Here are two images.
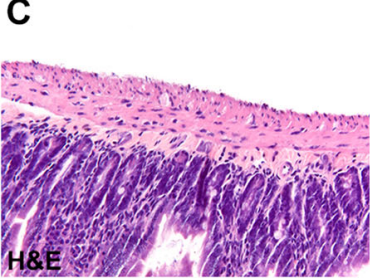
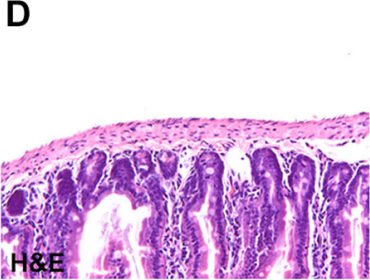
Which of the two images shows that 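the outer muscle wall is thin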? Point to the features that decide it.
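Second image: the pink muscle band over the mucosa is narrow. First image: the pink muscle band over the mucosa is broader.
Hence: the second image.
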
